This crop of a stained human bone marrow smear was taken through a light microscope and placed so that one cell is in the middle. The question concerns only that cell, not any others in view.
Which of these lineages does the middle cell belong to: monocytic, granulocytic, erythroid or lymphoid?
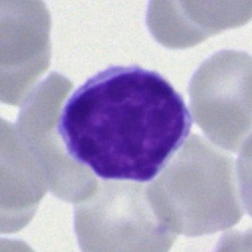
lymphoid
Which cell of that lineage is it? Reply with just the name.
lymphocyte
